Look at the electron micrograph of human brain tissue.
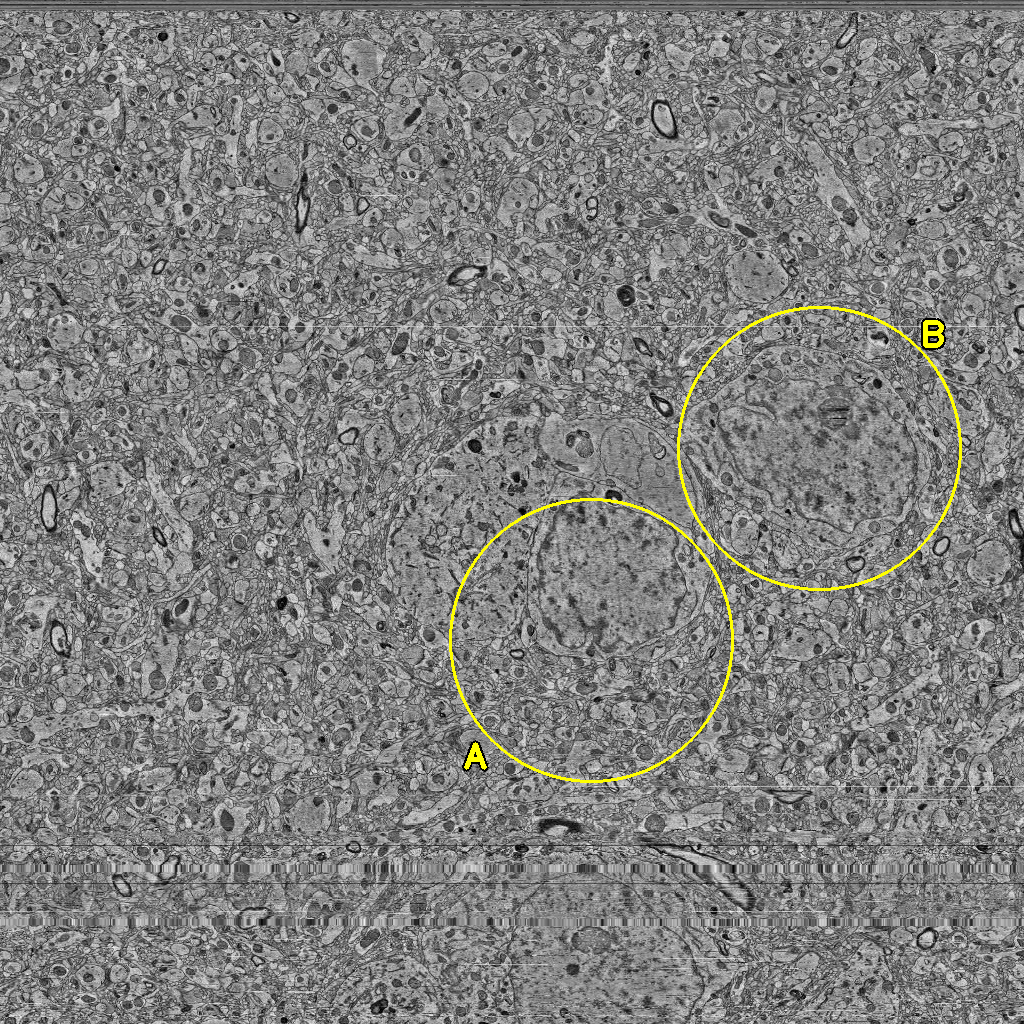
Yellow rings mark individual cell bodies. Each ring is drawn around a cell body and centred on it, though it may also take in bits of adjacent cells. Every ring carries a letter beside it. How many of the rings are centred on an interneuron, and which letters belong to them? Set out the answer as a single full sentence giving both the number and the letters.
Taken together, the rings with the letters A and B number two, each centred on an interneuron.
